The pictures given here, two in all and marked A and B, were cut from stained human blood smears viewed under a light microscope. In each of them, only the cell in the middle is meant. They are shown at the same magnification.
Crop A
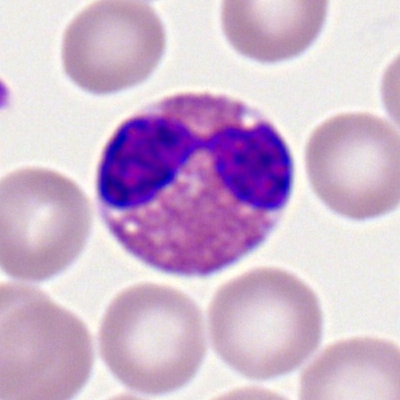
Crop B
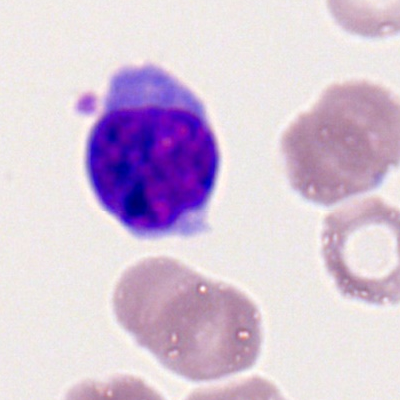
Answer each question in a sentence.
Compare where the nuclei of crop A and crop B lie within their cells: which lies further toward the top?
It is the nucleus in crop A that lies further toward the top of its cell.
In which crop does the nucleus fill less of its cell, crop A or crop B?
In crop A the nucleus takes up the smaller part of its cell.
